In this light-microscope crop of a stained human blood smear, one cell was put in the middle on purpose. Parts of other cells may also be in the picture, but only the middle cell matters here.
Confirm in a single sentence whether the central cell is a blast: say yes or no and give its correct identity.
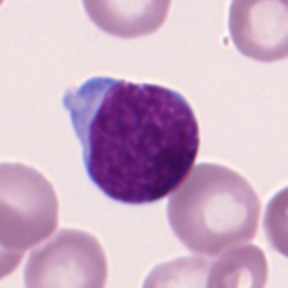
Yes, the cell right in the middle is a blast.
